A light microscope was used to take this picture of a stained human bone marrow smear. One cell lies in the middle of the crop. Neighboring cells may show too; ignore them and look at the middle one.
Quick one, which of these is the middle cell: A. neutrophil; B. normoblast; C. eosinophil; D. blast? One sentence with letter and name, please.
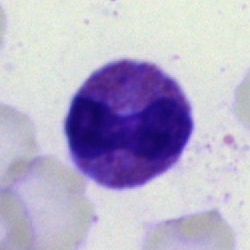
The central cell is an eosinophil, which makes option C the right answer.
